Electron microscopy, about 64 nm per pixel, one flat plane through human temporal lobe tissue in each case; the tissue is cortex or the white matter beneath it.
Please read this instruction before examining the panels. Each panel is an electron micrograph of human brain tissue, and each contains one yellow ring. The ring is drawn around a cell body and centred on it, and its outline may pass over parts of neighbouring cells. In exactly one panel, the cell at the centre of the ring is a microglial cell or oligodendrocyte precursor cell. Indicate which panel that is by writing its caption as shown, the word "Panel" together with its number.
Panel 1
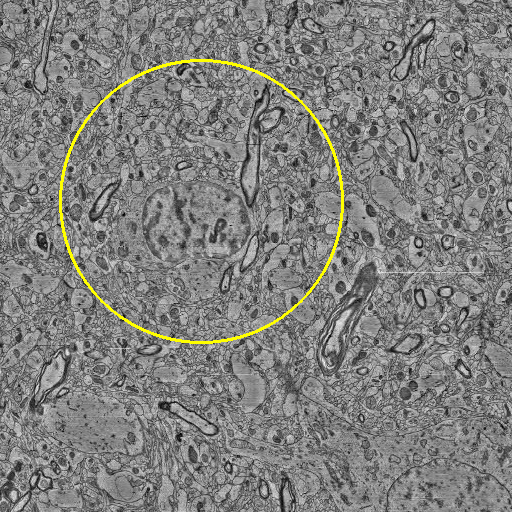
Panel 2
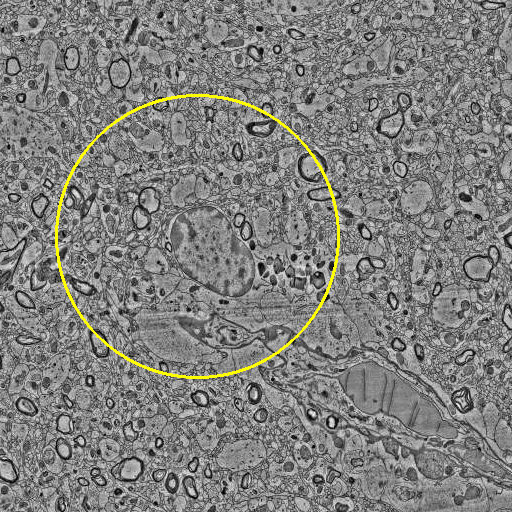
Panel 2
